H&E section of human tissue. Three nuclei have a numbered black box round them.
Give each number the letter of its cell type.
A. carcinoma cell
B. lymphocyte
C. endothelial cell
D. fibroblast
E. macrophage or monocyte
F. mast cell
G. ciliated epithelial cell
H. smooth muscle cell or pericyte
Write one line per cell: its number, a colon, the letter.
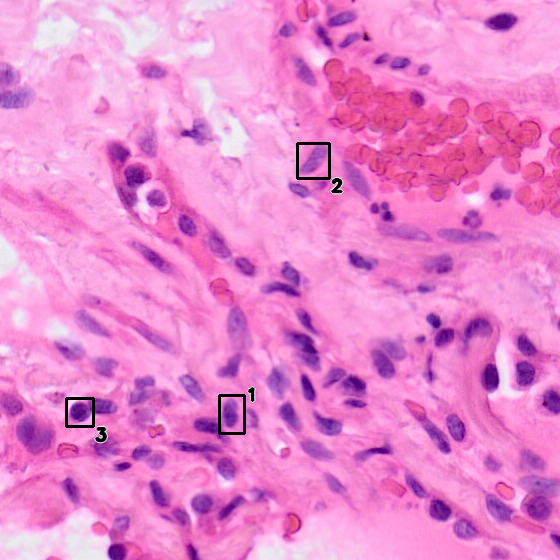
1: B
2: H
3: B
